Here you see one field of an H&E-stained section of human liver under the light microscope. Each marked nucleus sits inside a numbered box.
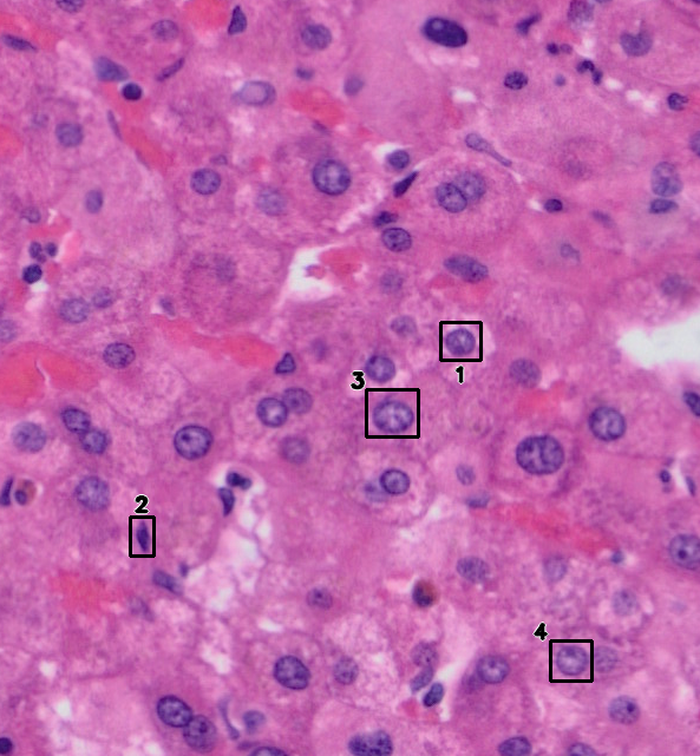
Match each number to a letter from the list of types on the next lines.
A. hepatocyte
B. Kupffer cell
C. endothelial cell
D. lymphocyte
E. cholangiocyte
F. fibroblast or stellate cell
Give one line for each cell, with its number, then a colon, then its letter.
1: A
2: F
3: A
4: A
